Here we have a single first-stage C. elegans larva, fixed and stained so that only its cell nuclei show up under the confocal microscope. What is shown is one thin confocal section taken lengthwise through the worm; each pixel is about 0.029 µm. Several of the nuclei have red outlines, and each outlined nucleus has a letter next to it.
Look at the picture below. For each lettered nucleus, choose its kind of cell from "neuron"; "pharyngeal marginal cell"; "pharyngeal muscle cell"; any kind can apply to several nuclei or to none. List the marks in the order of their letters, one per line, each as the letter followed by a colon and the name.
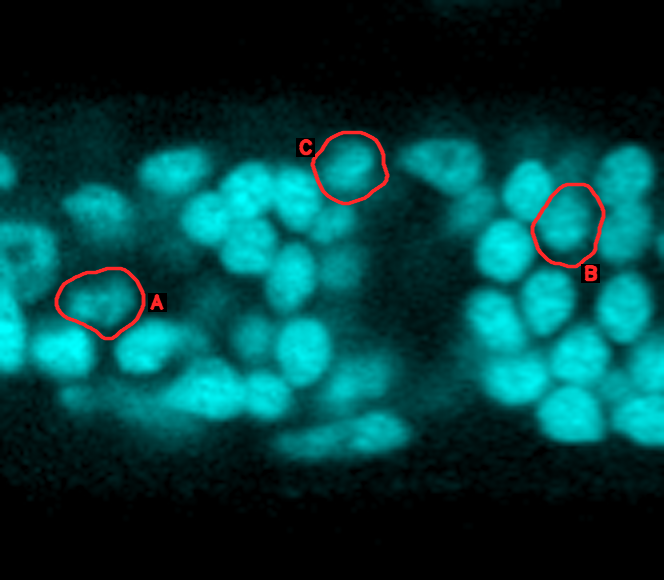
A: pharyngeal muscle cell
B: neuron
C: neuron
